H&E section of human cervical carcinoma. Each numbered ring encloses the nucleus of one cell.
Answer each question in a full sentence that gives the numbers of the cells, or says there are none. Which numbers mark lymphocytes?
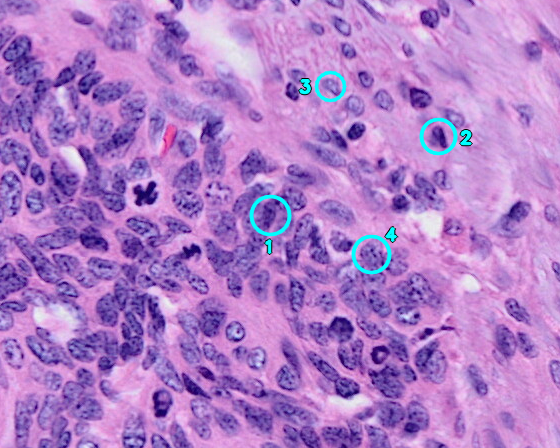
Among the numbered cells, cell 2 alone is a lymphocyte.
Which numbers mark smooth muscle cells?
Cell 3 represents a smooth muscle cell, and no other numbered cell does.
